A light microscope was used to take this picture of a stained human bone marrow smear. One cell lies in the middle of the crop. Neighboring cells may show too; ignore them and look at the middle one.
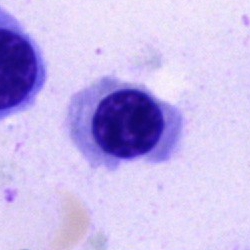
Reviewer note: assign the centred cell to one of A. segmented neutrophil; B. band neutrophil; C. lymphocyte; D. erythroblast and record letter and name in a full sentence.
That cell in the center is an erythroblast, hence option D.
